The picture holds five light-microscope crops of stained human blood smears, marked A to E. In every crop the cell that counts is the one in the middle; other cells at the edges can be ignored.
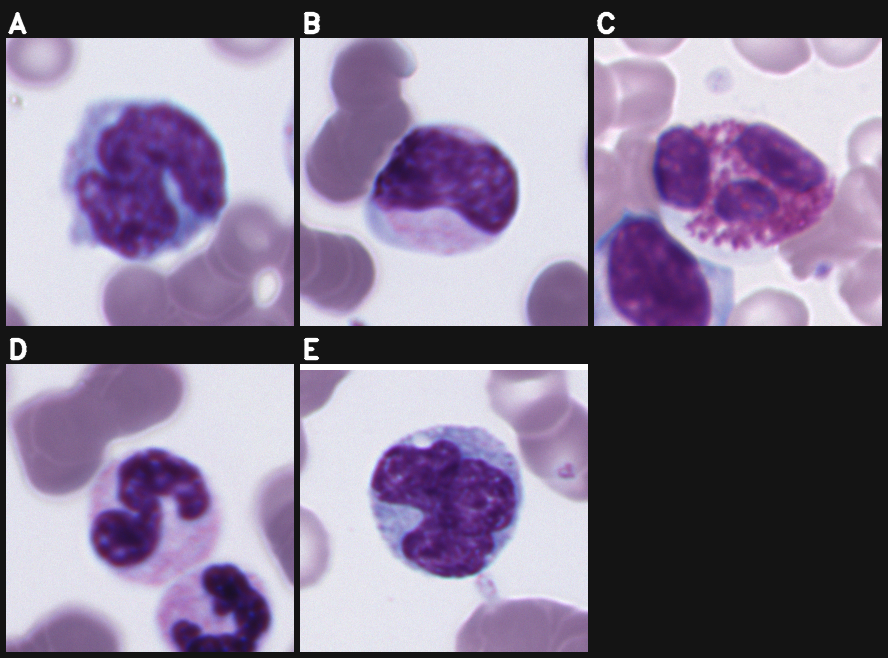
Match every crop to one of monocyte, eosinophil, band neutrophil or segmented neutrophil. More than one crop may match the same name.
A: monocyte
B: band neutrophil
C: eosinophil
D: segmented neutrophil
E: monocyte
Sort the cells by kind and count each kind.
monocyte: 2
band neutrophil: 1
eosinophil: 1
segmented neutrophil: 1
